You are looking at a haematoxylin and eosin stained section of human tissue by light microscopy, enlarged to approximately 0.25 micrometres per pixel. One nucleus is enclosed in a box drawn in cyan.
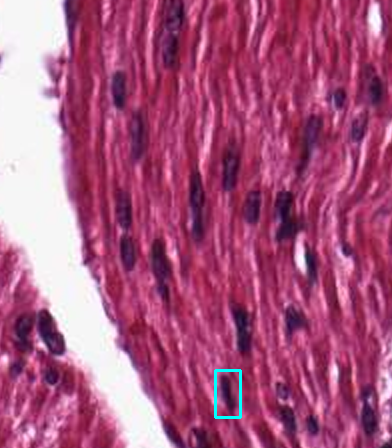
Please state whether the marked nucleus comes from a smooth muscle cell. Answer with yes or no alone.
yes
